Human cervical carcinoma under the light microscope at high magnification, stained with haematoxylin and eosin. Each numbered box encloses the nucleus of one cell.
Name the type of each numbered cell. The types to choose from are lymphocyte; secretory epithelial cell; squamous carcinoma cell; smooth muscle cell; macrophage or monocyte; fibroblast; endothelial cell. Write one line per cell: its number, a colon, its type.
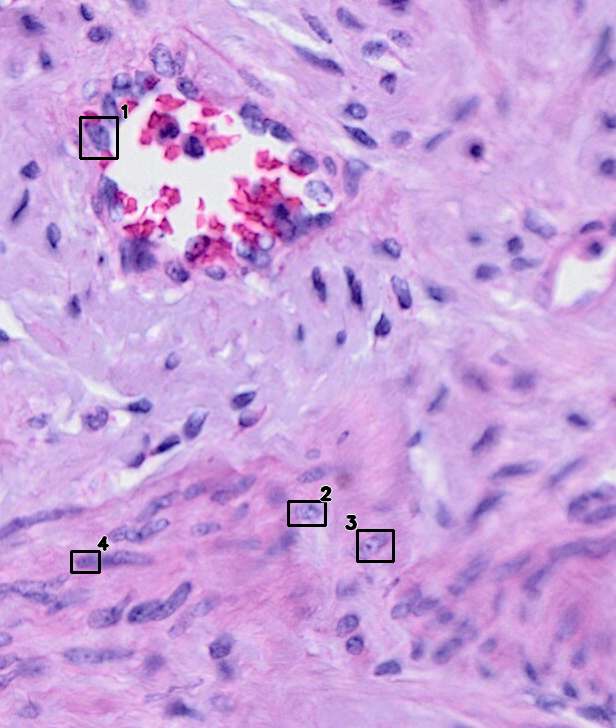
1: endothelial cell
2: smooth muscle cell
3: smooth muscle cell
4: smooth muscle cell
